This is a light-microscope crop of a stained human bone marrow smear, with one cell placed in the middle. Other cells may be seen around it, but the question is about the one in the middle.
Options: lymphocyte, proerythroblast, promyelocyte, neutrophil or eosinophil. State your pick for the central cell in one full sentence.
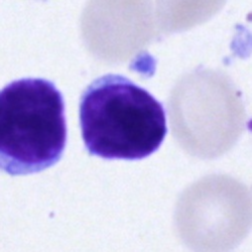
The middle of this crop is occupied by a lymphocyte.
